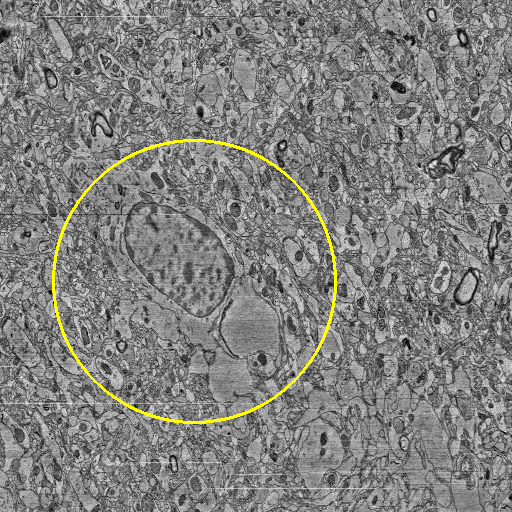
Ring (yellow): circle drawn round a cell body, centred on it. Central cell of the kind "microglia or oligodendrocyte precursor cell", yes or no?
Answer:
yes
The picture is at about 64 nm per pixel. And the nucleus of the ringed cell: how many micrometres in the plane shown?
The nucleus of the ringed cell is clearly longer than it is wide in this plane, about 8 by 5 micrometres.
